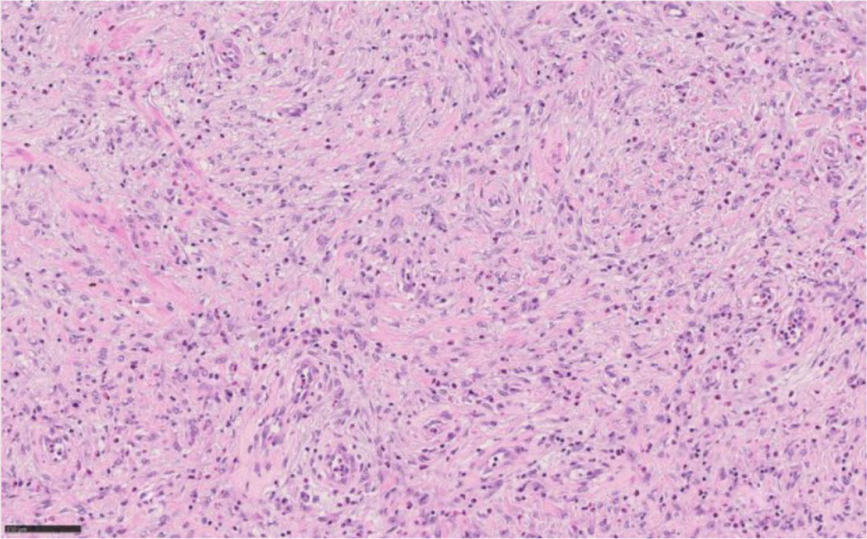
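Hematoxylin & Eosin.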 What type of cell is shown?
Spindle cells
